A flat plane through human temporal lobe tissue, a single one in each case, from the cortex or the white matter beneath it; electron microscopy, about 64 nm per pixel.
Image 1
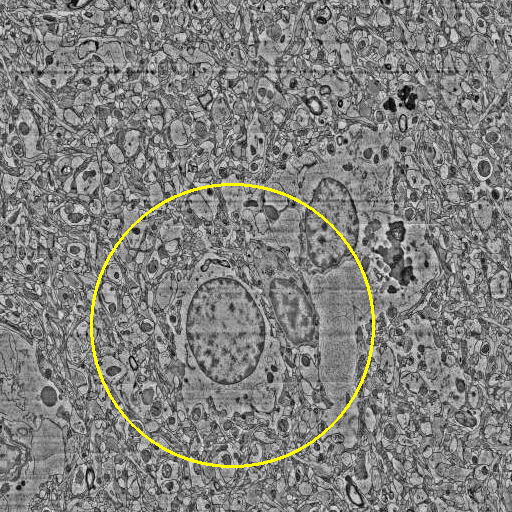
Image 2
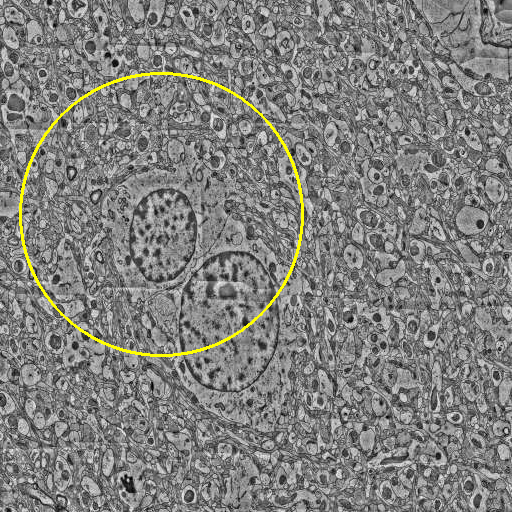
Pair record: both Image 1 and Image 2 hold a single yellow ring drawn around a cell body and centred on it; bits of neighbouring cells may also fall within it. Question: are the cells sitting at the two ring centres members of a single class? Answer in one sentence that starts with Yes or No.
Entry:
Yes, both ring-centre cells in Image 1 and Image 2 are members of one class.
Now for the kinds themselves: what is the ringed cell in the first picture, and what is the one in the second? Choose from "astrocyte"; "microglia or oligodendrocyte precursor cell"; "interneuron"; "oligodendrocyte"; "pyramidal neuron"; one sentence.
In both pictures the ring is centred on an astrocyte.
